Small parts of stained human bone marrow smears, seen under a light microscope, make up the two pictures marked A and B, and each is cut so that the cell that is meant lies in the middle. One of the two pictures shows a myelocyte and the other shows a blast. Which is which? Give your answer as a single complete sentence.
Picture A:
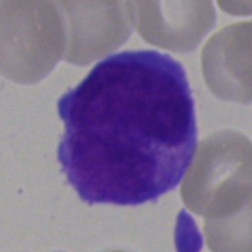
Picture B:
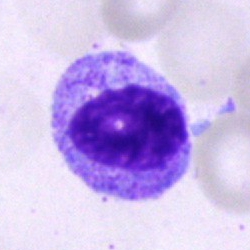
The cell in picture A is a blast, and the one in picture B is a myelocyte.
